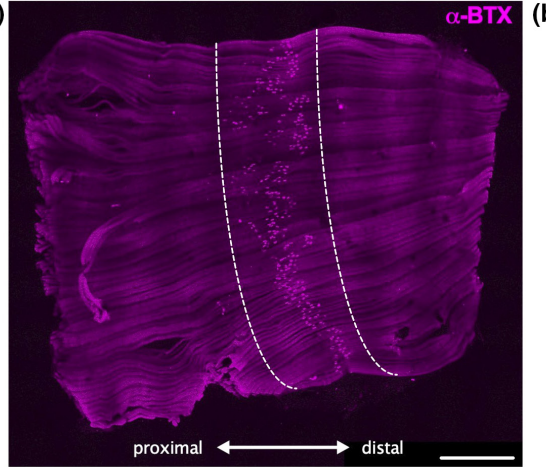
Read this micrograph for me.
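The edges are ragged where the muscle was cut free. A curved band across the middle third of the muscle, crossing the fibres roughly at right angles, holds many small, bright magenta spots. These are the neuromuscular junctions, each sitting on a fibre. They are scattered singly and in small groups along the band. The proximal and distal thirds of the muscle show fibres without such spots.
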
